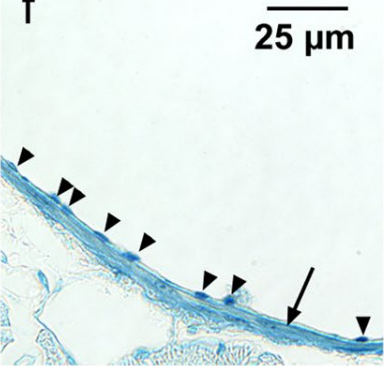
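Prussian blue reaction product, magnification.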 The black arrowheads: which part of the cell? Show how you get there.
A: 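The arrowheads point to small dark blue oval bodies. These bodies sit on the luminal edge of the vessel wall. They are flattened along the curve of the wall.
Conclusion: endothelial cell nuclei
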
